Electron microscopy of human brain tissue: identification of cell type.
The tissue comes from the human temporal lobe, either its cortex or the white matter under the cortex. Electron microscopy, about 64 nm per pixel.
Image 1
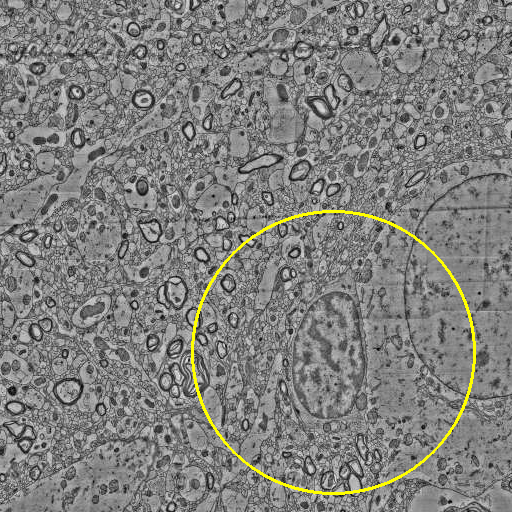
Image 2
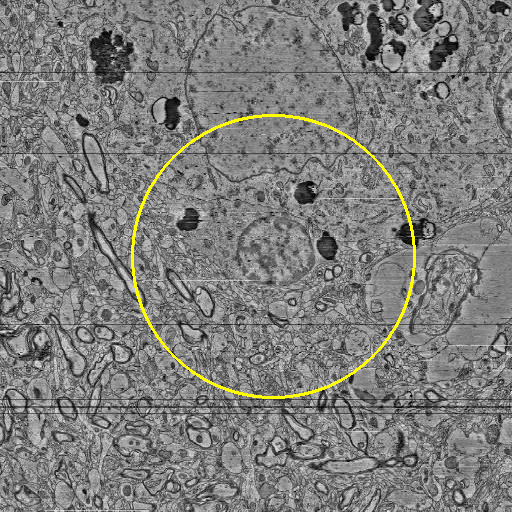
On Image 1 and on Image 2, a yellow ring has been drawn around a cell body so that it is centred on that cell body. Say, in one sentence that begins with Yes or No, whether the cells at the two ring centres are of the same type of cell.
Yes, both cells are the same type of cell.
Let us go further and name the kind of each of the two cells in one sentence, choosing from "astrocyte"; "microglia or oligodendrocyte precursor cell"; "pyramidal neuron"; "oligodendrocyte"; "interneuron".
In the first picture and in the second, the ring is centred on an oligodendrocyte.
